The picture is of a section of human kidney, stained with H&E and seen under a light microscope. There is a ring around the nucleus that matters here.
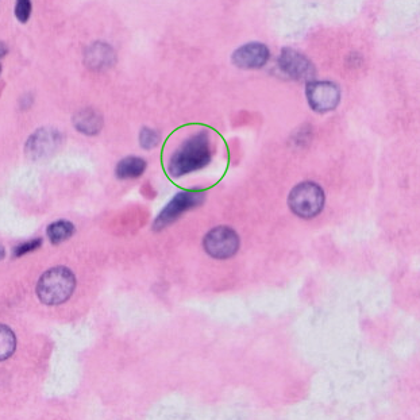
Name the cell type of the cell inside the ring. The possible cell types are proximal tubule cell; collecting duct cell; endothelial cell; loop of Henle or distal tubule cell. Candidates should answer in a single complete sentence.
In the tissue at hand, the cell inside the ring is an endothelial cell.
